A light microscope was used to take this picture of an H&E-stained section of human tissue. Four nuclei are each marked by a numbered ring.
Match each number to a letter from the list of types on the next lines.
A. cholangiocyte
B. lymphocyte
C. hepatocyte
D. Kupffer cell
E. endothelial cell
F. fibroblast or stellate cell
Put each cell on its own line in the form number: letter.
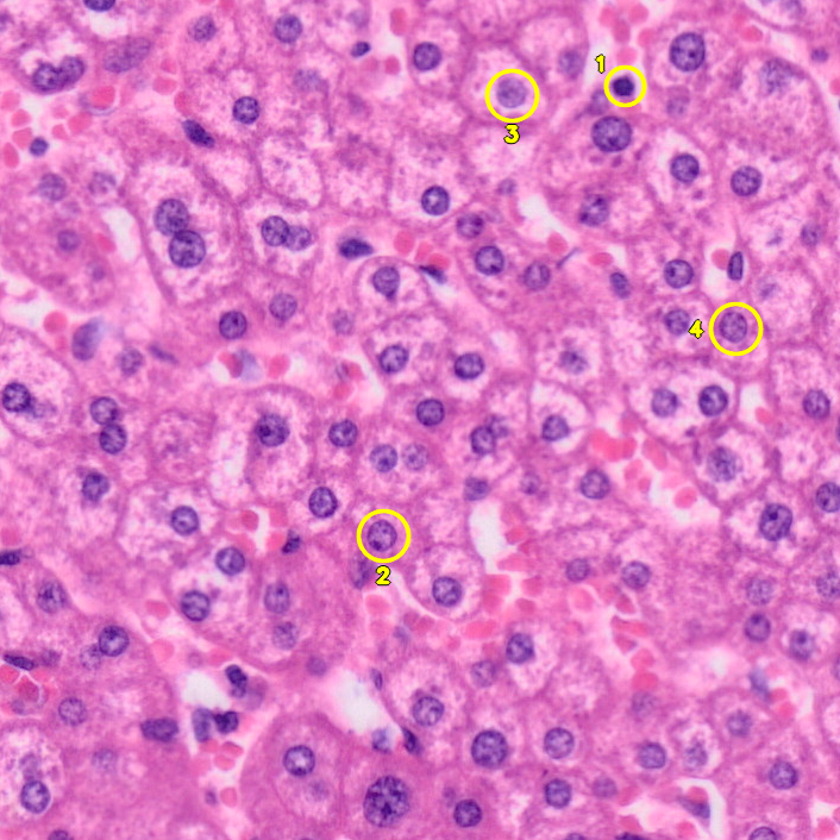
1: B
2: C
3: C
4: C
